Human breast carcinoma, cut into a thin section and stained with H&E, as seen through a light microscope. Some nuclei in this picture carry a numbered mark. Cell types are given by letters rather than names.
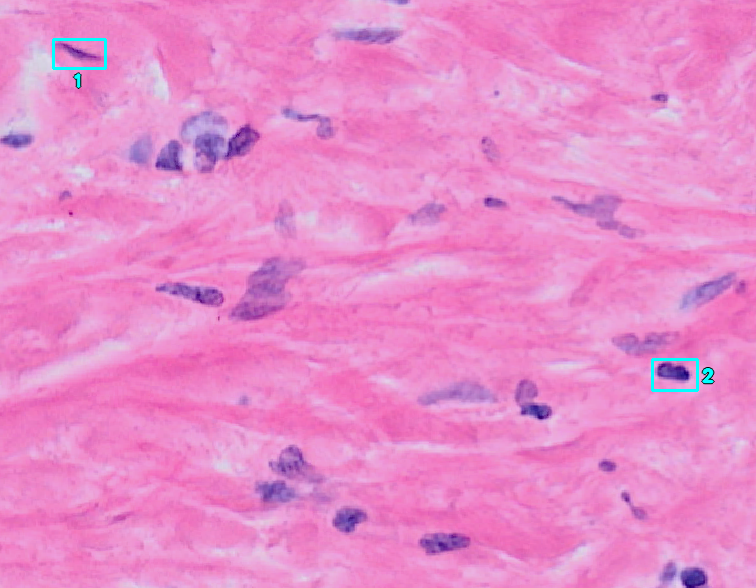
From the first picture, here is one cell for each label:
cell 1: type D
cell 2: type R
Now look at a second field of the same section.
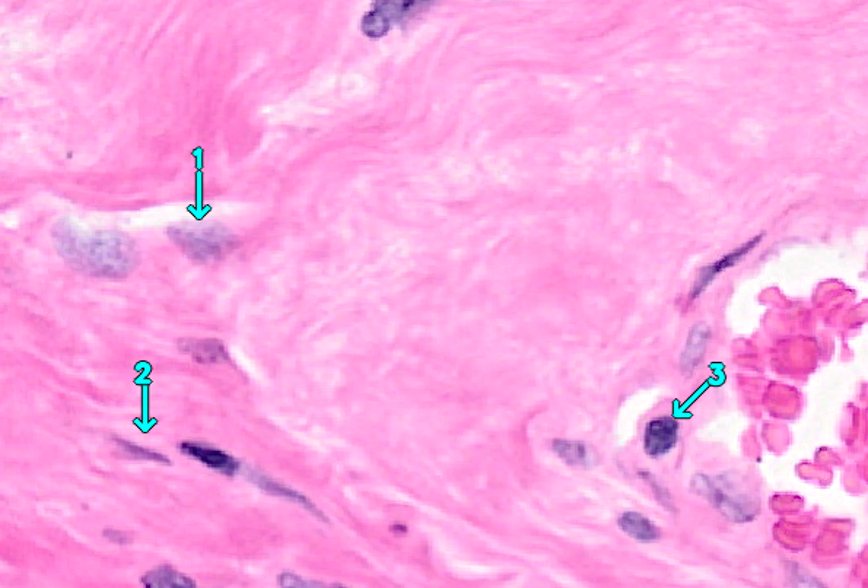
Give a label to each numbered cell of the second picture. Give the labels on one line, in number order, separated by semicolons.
type D; type D; type R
